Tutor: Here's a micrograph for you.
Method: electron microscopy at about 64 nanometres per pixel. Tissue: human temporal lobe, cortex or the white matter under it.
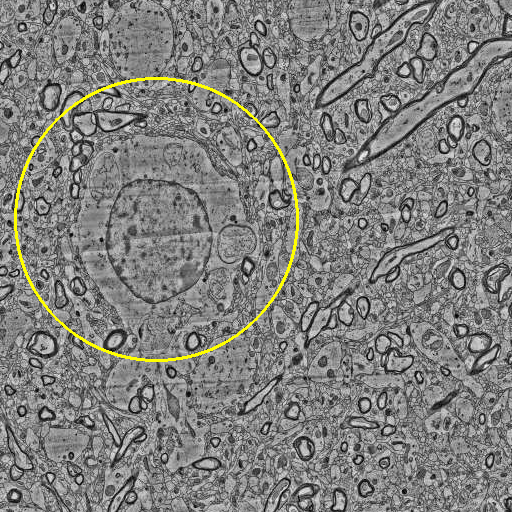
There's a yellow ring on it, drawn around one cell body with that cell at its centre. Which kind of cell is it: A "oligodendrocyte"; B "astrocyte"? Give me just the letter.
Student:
B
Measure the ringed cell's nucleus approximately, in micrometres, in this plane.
The nucleus measures about 8 micrometers across in this plane.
